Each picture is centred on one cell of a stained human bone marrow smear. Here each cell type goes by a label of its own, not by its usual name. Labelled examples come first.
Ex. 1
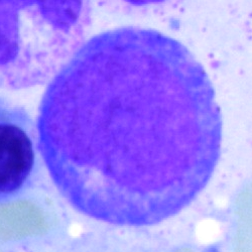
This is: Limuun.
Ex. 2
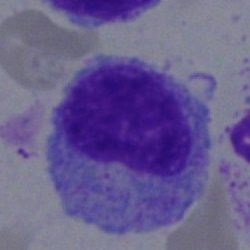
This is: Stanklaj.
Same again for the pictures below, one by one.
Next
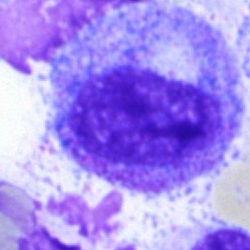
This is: Stanklaj.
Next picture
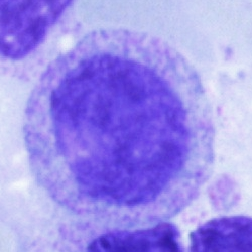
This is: Stanklaj.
